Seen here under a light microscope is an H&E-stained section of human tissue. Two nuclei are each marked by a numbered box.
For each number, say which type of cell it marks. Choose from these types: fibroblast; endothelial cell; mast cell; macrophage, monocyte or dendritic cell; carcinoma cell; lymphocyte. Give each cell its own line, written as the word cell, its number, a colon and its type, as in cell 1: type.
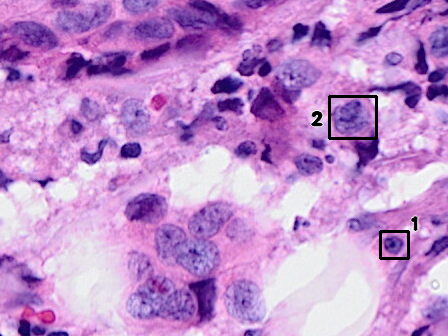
cell 1: mast cell
cell 2: carcinoma cell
